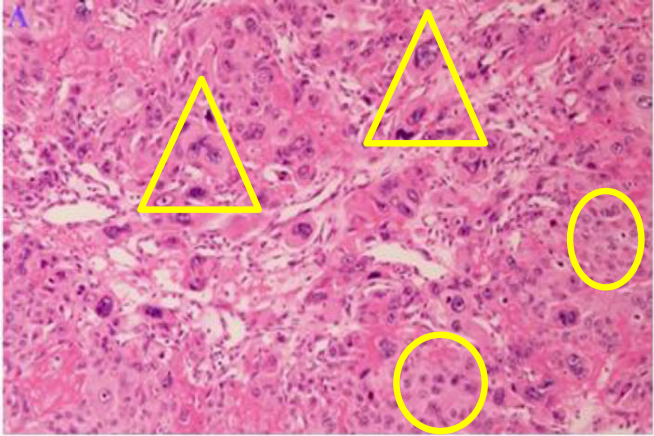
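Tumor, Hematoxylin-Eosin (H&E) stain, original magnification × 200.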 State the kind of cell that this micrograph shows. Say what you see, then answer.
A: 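Polygonal cells with abundant pink cytoplasm and round nuclei. The cells lie in nests separated by thin stromal strands.
Epithelioid cells.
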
